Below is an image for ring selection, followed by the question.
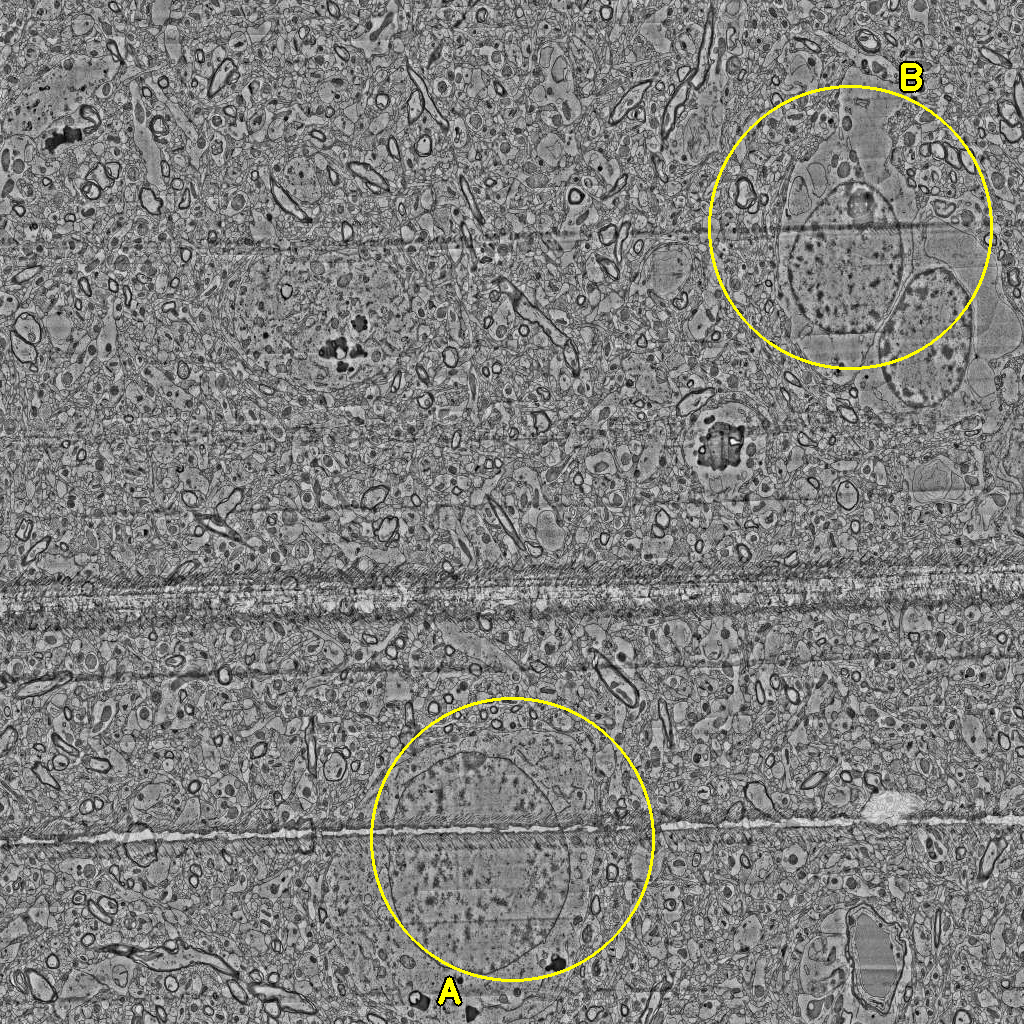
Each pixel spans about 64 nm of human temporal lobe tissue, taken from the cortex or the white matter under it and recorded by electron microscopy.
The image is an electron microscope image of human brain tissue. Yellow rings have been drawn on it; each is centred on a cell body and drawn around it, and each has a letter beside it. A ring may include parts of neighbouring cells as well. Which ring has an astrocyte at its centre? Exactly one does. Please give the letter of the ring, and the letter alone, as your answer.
B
